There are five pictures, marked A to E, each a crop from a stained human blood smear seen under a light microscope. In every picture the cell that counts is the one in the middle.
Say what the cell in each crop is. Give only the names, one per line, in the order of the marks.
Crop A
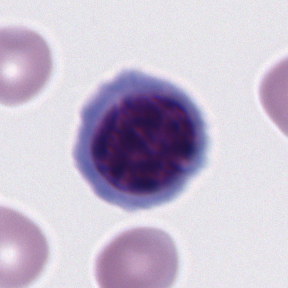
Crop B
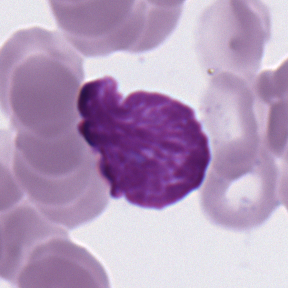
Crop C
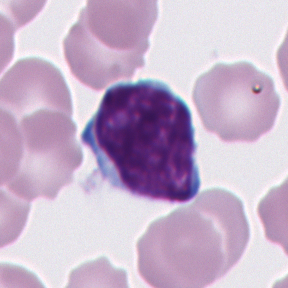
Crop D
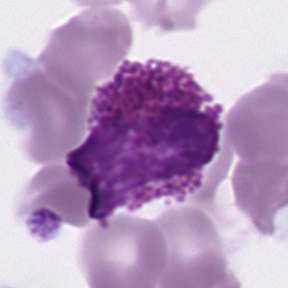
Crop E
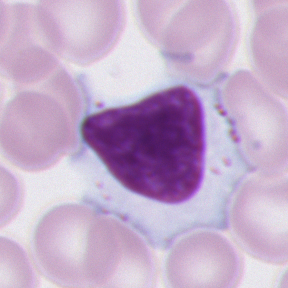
normoblast
smudge cell
typical lymphocyte
eosinophil
large granular lymphocyte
